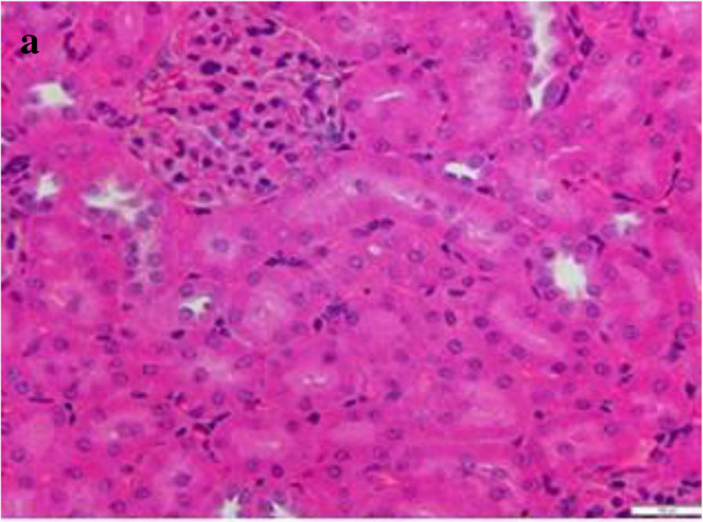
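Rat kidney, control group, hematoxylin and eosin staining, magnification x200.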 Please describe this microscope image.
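A rounded glomerulus with a dense tuft of capillary loops and purple nuclei lies within a thin capsule near the top left. Around it, tubules are packed closely together, lined by cuboidal cells with abundant pink cytoplasm and round, centrally placed nuclei. The tubular lumens are small and slit-like, and the cells lining them appear intact without clear spaces. This is renal cortex with glomerulus and tubules of ordinary appearance.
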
